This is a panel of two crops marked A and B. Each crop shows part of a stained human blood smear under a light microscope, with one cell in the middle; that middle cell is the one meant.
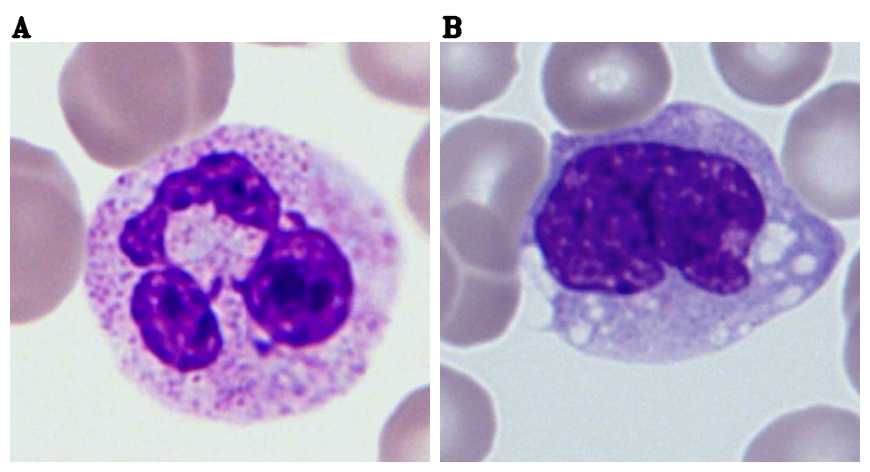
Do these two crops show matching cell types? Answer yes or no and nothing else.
no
